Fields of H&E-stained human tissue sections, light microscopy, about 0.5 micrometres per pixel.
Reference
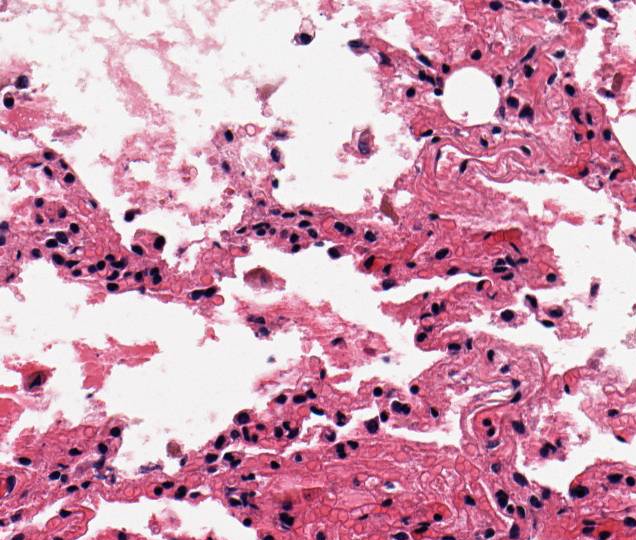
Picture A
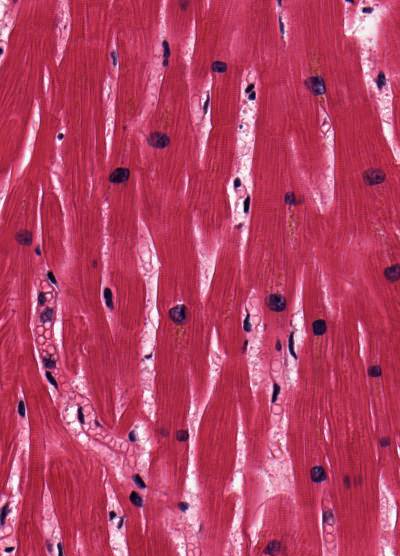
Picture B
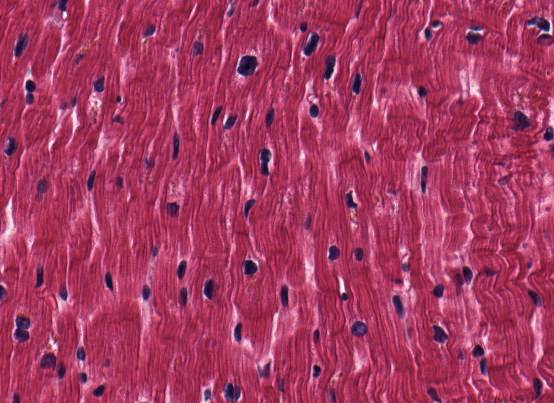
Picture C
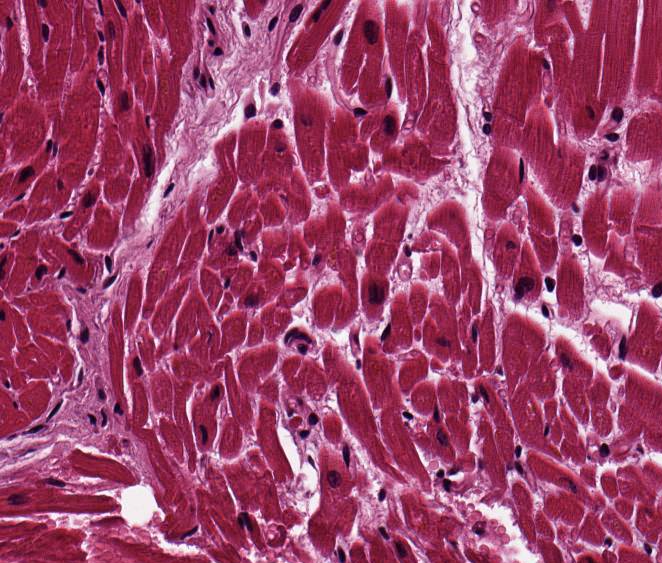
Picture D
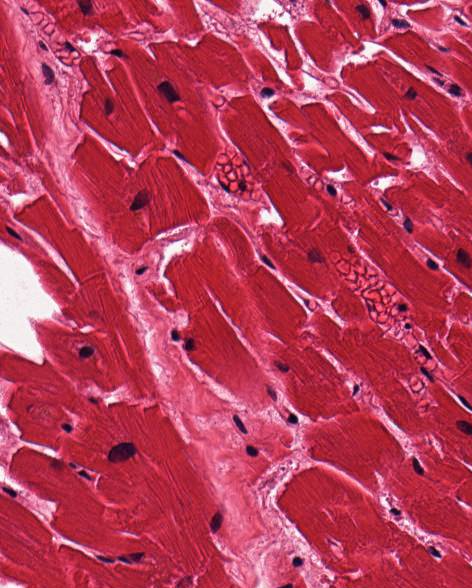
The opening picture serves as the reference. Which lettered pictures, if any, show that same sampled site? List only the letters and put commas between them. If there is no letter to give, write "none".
none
